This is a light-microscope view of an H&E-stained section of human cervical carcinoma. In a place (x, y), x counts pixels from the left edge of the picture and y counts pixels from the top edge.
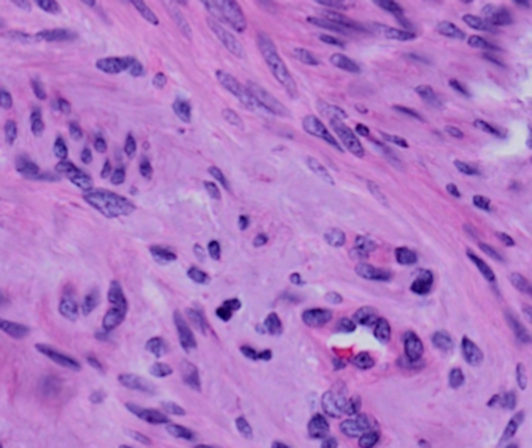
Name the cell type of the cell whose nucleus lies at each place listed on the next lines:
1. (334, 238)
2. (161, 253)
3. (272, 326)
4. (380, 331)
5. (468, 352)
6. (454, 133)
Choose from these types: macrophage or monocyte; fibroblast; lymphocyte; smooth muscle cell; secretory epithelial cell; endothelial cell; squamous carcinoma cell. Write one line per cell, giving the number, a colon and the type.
1: smooth muscle cell
2: fibroblast
3: fibroblast
4: endothelial cell
5: fibroblast
6: smooth muscle cell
